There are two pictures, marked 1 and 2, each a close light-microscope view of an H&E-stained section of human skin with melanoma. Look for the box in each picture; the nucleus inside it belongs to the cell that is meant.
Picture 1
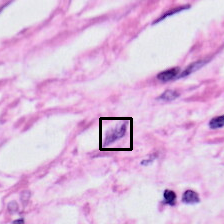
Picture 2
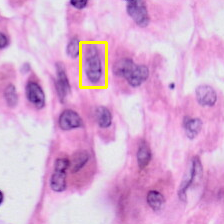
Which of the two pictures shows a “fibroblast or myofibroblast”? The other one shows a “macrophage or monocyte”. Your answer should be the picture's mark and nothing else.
1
